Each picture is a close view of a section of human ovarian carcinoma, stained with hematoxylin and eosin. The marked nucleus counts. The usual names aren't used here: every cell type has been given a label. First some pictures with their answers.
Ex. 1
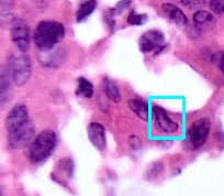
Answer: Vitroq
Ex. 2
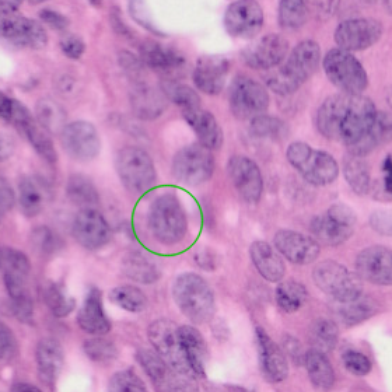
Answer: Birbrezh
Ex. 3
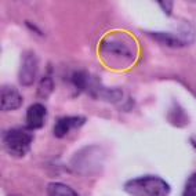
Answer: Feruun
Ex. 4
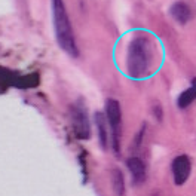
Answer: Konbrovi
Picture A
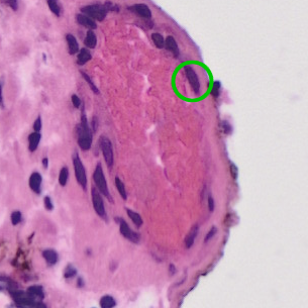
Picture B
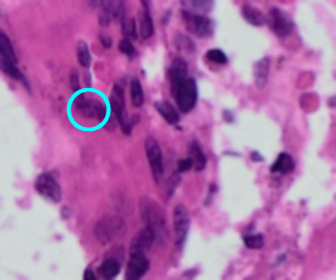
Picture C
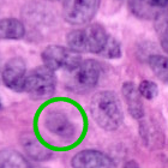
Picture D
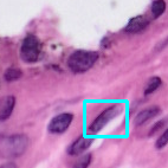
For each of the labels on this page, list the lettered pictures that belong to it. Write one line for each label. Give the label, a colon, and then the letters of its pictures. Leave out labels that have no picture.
Birbrezh: C
Feruun: A, B, D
